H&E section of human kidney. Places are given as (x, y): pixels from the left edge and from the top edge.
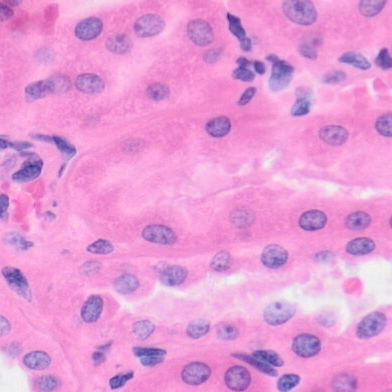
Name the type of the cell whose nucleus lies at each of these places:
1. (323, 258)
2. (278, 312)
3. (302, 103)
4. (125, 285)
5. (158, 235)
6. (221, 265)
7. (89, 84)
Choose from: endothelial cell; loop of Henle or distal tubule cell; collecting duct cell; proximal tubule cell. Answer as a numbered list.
1. loop of Henle or distal tubule cell
2. loop of Henle or distal tubule cell
3. endothelial cell
4. loop of Henle or distal tubule cell
5. proximal tubule cell
6. loop of Henle or distal tubule cell
7. proximal tubule cell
